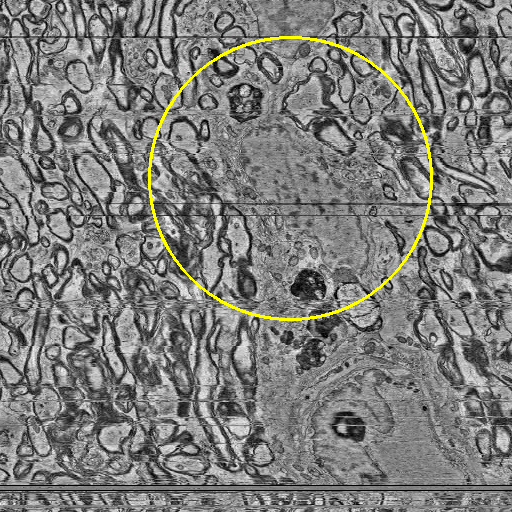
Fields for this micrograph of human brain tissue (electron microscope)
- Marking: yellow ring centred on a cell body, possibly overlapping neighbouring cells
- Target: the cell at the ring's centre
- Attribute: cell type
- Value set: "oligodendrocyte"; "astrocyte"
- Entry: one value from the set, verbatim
astrocyte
